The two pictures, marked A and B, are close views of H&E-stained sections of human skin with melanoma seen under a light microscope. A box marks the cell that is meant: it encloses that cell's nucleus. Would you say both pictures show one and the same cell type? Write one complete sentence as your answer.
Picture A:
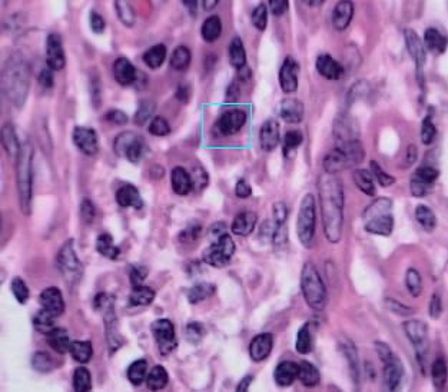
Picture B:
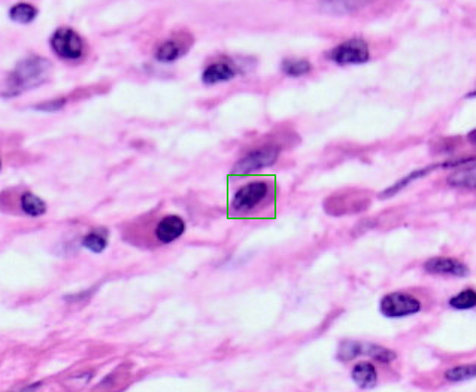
Yes, they are the same type: both are plasma cells.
